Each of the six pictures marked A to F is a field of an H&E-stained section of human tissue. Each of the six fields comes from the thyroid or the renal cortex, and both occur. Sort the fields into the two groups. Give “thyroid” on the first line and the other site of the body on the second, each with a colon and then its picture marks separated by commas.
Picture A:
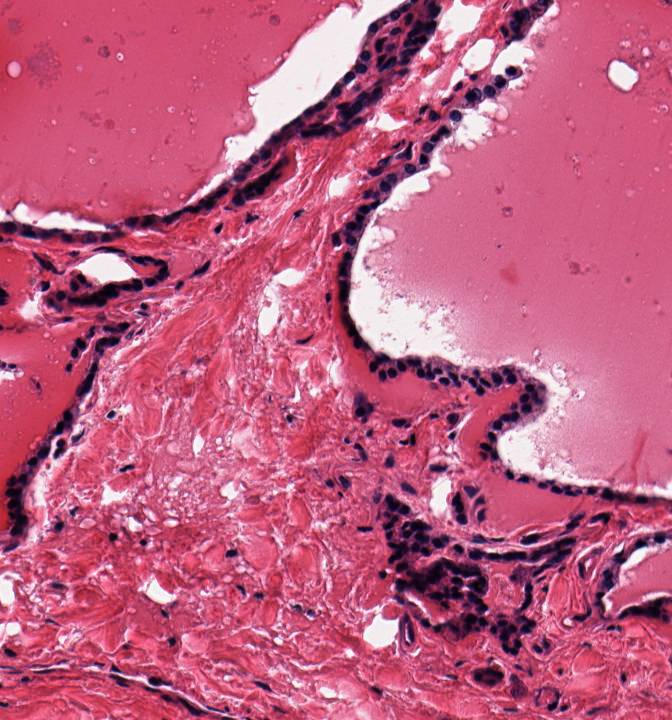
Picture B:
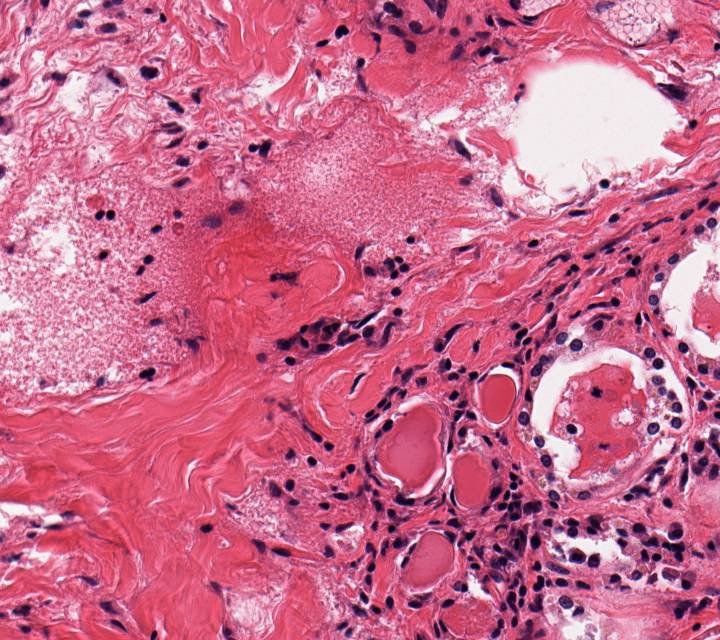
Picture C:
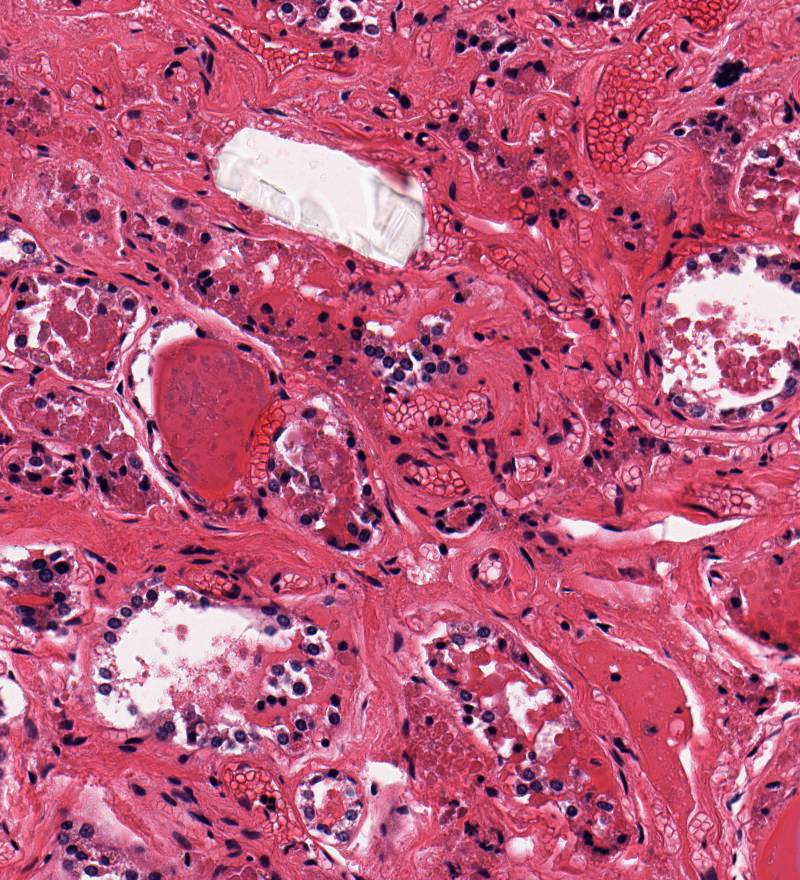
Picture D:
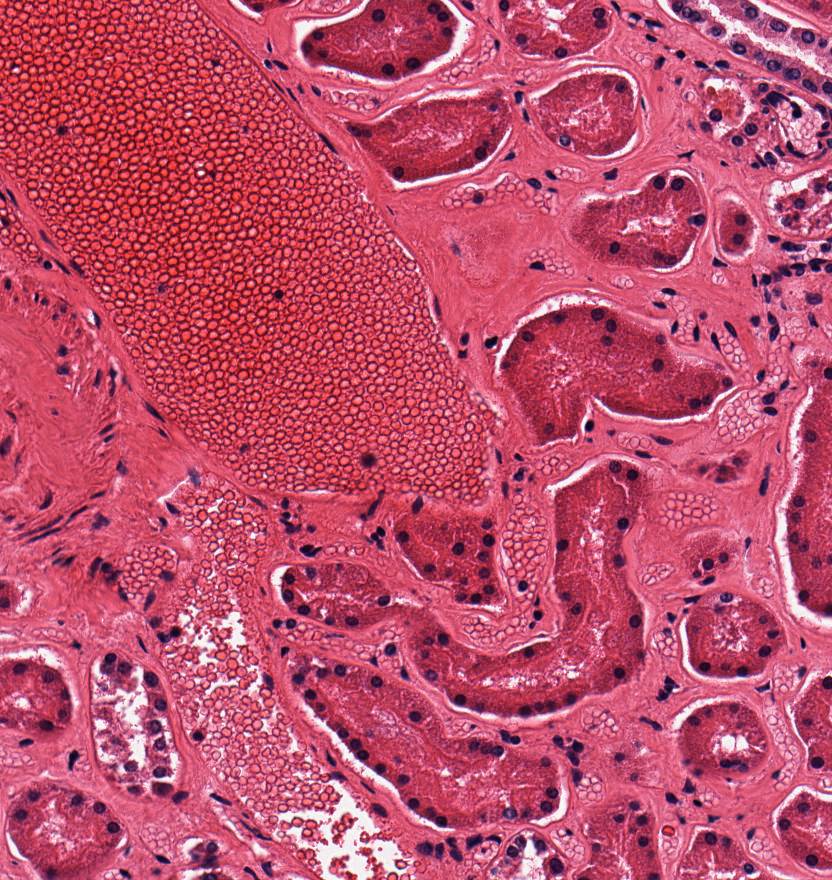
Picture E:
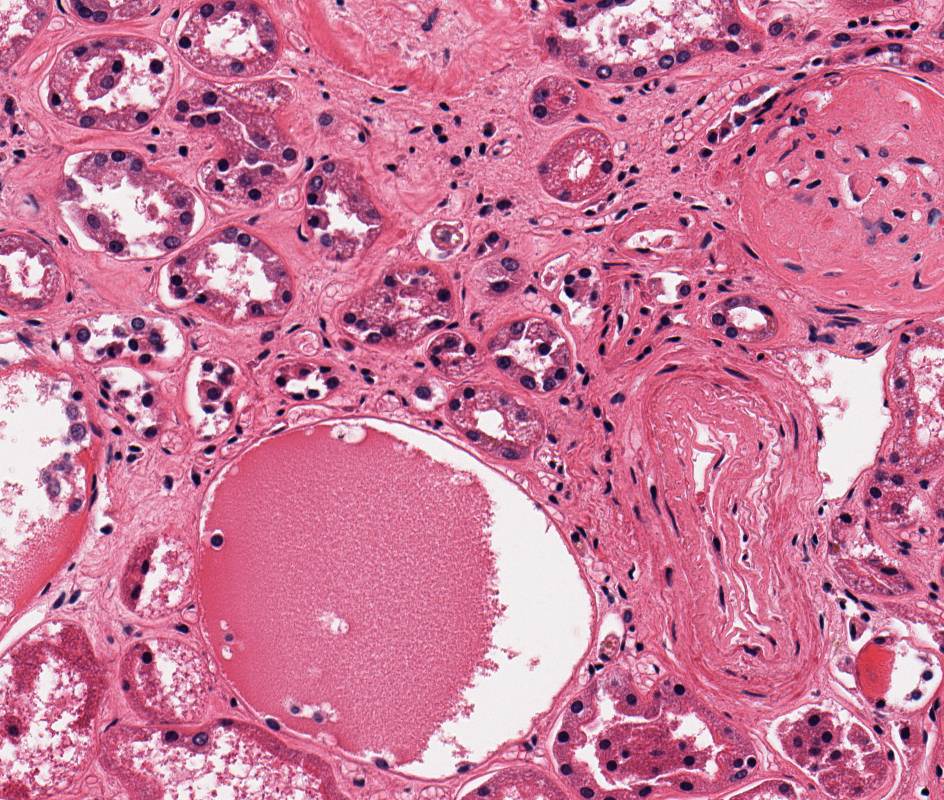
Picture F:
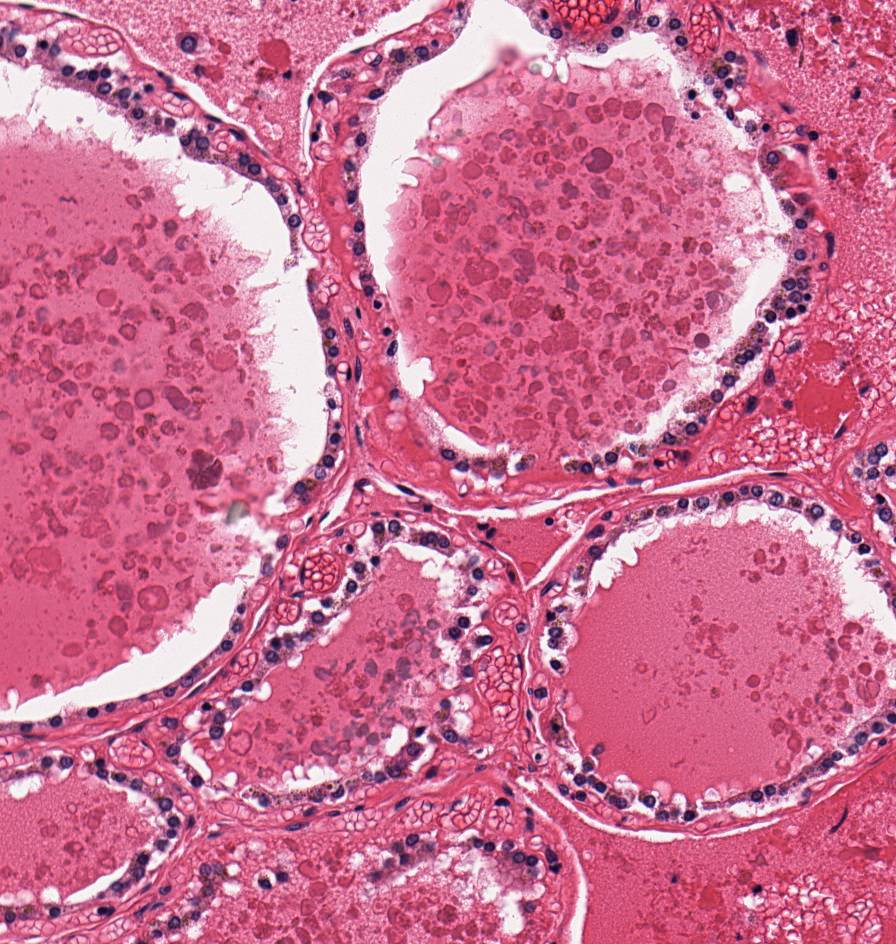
thyroid: A, B, C, F
renal cortex: D, E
